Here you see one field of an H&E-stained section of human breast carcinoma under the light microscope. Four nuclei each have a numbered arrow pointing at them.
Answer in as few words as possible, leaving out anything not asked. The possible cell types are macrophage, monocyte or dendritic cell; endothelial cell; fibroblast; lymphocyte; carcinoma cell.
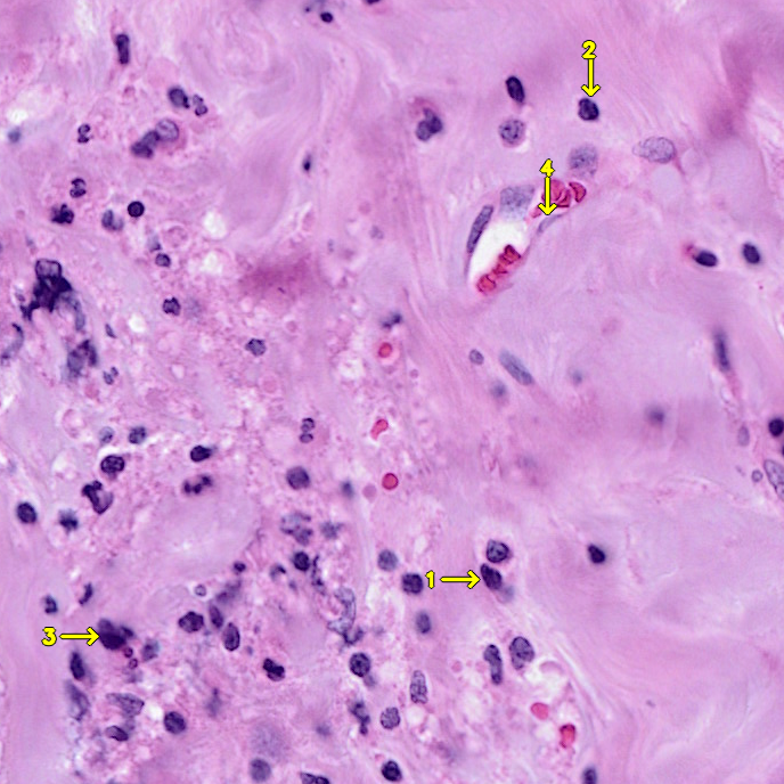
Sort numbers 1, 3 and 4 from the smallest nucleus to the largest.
4, 1, 3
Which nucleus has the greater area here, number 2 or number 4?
2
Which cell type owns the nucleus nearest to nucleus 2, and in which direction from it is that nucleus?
an endothelial cell below nucleus 2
